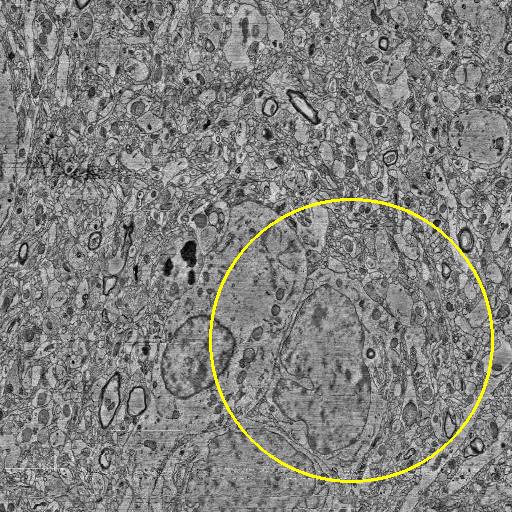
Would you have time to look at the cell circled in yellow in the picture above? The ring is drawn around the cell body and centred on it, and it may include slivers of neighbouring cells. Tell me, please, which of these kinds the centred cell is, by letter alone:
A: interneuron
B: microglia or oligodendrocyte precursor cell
A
